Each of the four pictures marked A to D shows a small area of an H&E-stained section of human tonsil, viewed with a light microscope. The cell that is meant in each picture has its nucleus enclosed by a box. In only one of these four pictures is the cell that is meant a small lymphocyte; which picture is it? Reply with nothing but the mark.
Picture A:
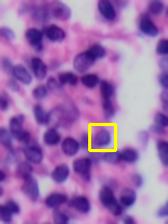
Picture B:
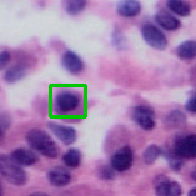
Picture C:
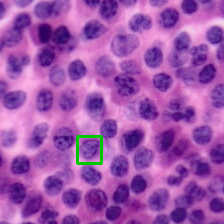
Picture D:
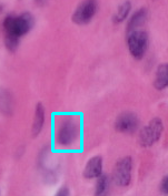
A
